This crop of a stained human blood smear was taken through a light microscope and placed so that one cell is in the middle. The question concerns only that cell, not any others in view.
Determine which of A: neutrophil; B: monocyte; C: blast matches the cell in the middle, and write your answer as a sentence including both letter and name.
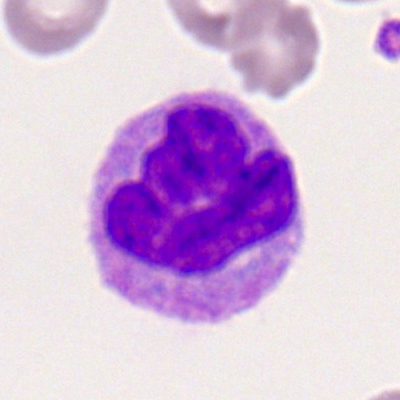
The central cell in this crop is a monocyte, so the correct choice is option B.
